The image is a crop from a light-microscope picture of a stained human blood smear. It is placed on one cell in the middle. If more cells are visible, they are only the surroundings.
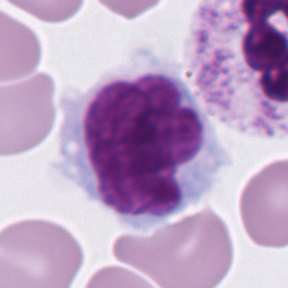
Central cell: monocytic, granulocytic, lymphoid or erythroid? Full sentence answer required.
With respect to lineage, the middle cell falls within the lymphoid lineage.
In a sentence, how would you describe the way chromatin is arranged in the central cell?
The chromatin pattern is fine and free of coarse clumps.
